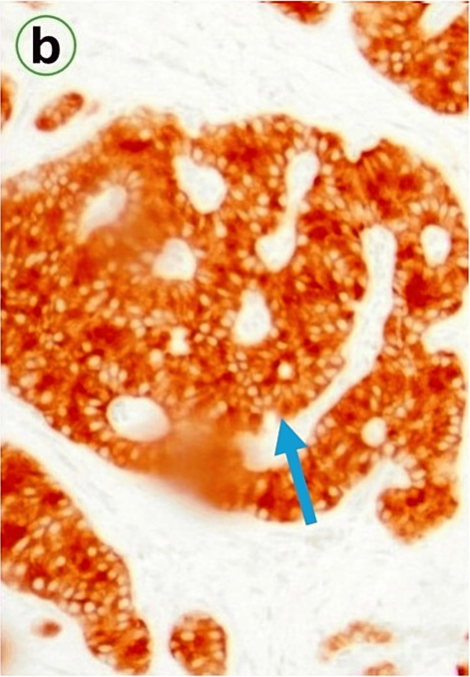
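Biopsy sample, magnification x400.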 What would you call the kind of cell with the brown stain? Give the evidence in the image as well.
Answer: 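Tumor cell. The stroma between the nests is unstained and pale.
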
